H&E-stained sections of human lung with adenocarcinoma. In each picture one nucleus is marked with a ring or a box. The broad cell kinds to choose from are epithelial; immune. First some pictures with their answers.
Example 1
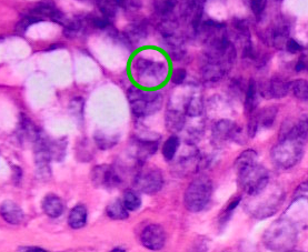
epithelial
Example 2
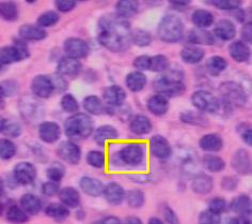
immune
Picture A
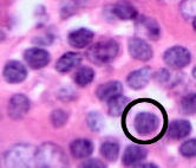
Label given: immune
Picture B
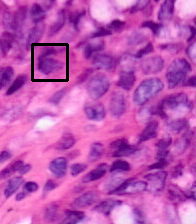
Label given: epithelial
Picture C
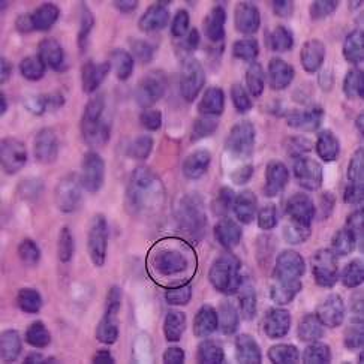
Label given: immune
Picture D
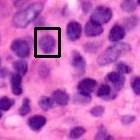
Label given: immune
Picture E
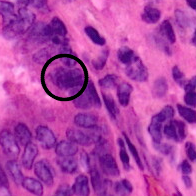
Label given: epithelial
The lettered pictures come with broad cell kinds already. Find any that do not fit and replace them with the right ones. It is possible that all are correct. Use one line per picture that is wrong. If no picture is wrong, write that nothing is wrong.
All labels are correct.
